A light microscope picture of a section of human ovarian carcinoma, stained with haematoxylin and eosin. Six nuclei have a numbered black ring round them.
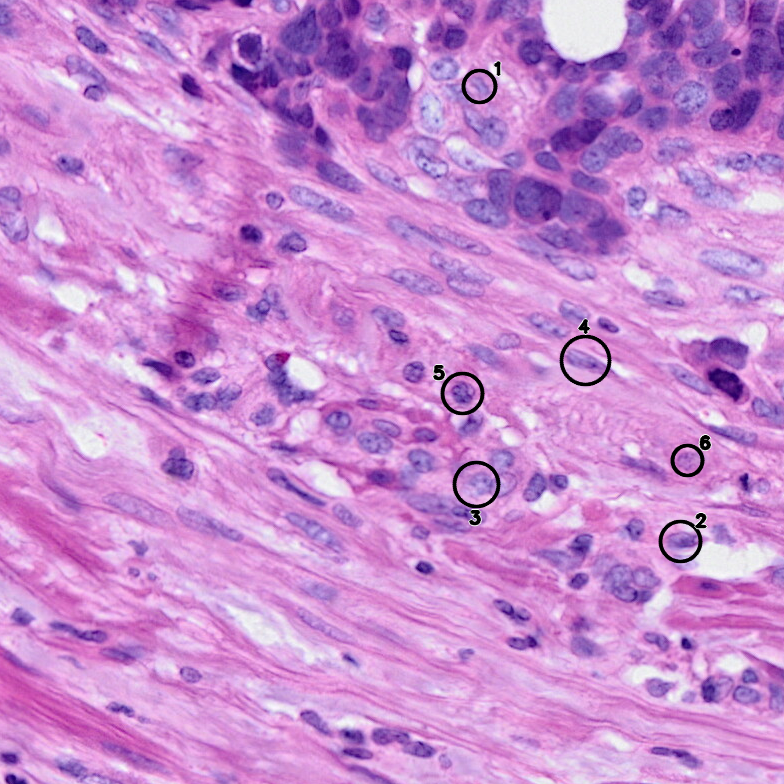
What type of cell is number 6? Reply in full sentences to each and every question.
The one labeled 6 is a fibroblast, to put it simply.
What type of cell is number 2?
Cell 2, as marked in the section, is a fibroblast.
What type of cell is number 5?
In this section, the cell numbered 5 is a macrophage or monocyte.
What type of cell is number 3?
The numbered cell 3 is identified here as an endothelial cell.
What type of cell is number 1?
At number 1, the marked cell is a fibroblast.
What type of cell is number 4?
It is as a fibroblast that the cell numbered 4 is identified.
